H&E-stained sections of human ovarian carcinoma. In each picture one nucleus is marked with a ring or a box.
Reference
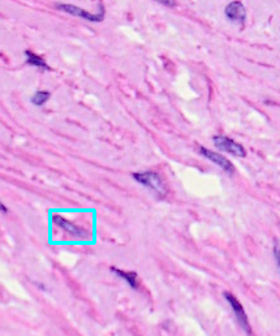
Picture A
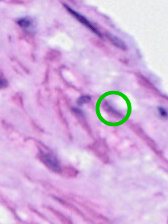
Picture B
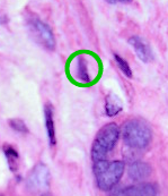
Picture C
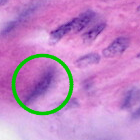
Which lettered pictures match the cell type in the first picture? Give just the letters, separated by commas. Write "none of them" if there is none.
A, B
